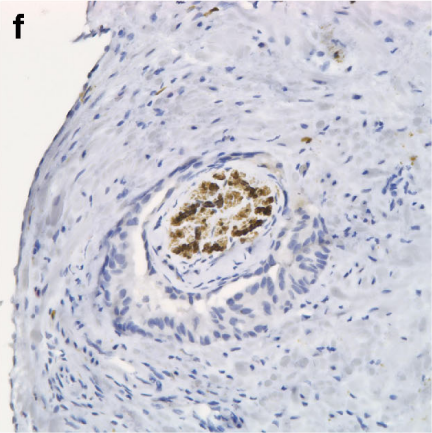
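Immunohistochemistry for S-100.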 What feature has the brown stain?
nerve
